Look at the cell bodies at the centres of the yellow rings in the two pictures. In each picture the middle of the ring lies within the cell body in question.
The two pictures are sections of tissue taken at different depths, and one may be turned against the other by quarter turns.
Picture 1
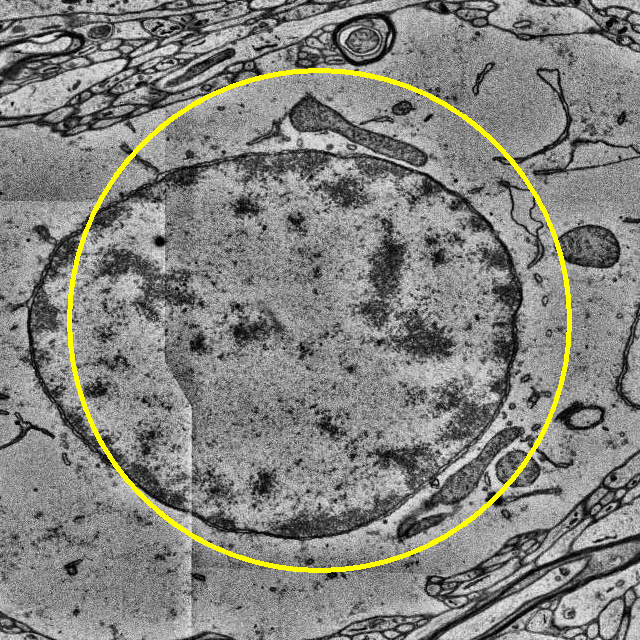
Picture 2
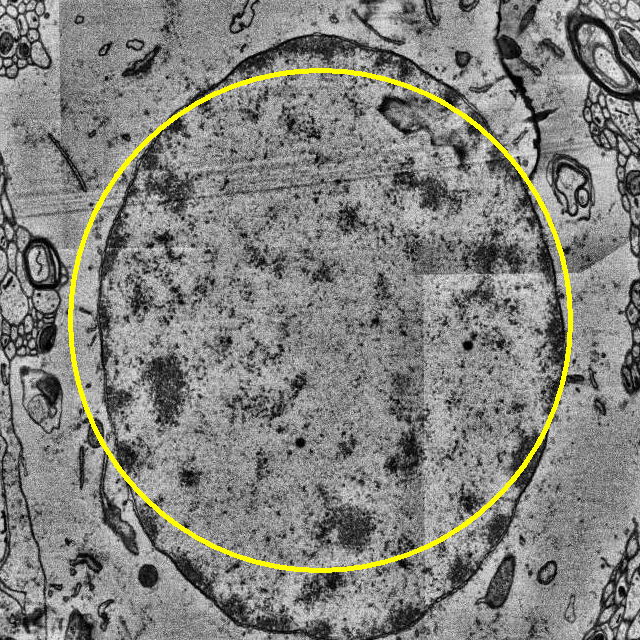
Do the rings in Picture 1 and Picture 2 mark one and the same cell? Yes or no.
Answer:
yes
